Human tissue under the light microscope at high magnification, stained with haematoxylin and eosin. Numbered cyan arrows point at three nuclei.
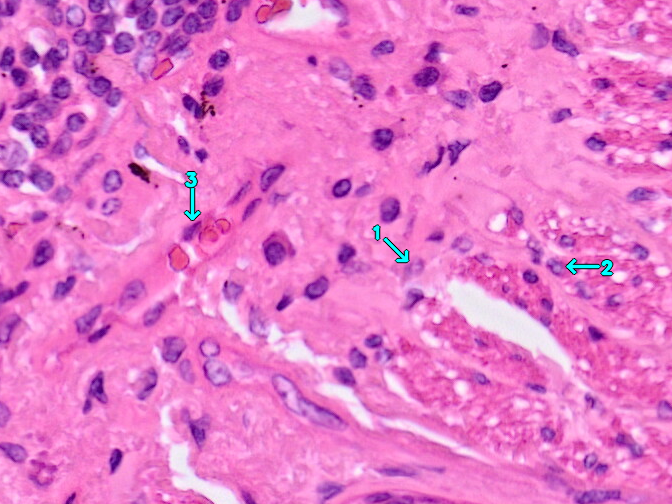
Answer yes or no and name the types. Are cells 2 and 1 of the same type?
No, cell 2 is a smooth muscle cell or pericyte and cell 1 is a fibroblast.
